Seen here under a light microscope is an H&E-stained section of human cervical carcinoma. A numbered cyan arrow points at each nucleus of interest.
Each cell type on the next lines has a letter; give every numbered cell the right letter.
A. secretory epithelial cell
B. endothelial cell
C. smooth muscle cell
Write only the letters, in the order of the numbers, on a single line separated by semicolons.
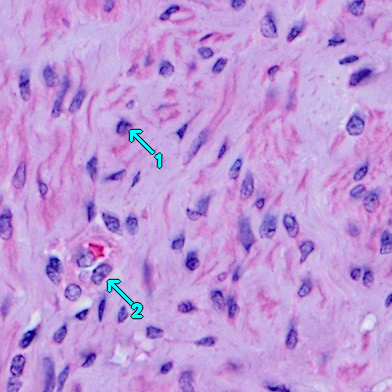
C; B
